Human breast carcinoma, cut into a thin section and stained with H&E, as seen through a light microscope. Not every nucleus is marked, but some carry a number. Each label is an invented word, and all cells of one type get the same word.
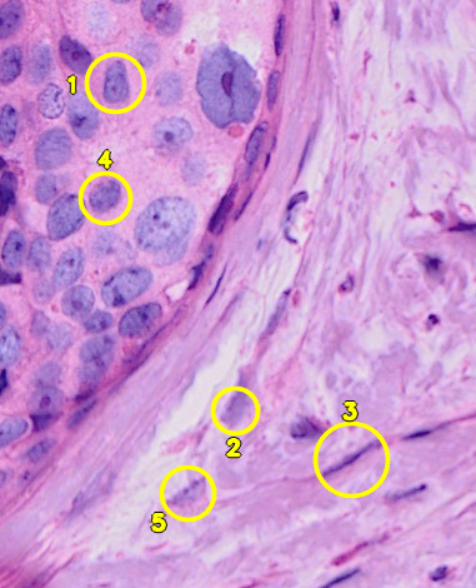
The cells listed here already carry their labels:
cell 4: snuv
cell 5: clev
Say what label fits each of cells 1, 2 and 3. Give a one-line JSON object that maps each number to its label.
{"1": "snuv", "2": "clev", "3": "clev"}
